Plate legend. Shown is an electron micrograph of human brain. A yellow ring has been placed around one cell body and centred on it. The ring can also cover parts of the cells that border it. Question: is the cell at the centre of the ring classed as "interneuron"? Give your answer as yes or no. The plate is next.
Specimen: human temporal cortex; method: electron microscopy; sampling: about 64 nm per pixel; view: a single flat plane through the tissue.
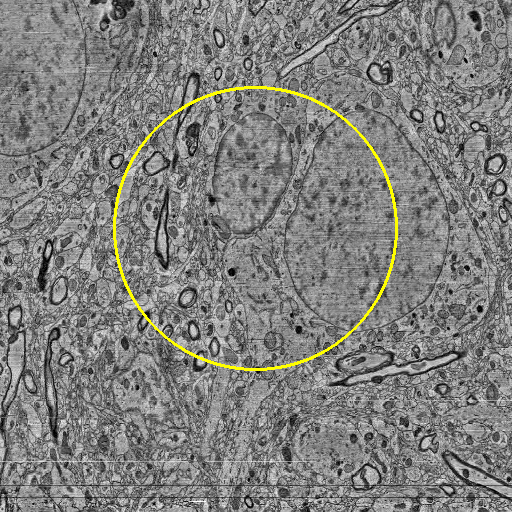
No, the ringed cell is of another kind.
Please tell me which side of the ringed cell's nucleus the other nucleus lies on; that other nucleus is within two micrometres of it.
The second nucleus lies to the right of it.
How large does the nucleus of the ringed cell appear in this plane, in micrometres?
The nucleus is approximately 8 micrometres long but only about 5 wide, clearly longer than it is wide in this plane.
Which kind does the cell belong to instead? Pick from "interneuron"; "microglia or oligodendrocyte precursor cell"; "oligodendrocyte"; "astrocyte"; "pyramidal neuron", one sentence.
Sitting at the ring centre is an oligodendrocyte.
